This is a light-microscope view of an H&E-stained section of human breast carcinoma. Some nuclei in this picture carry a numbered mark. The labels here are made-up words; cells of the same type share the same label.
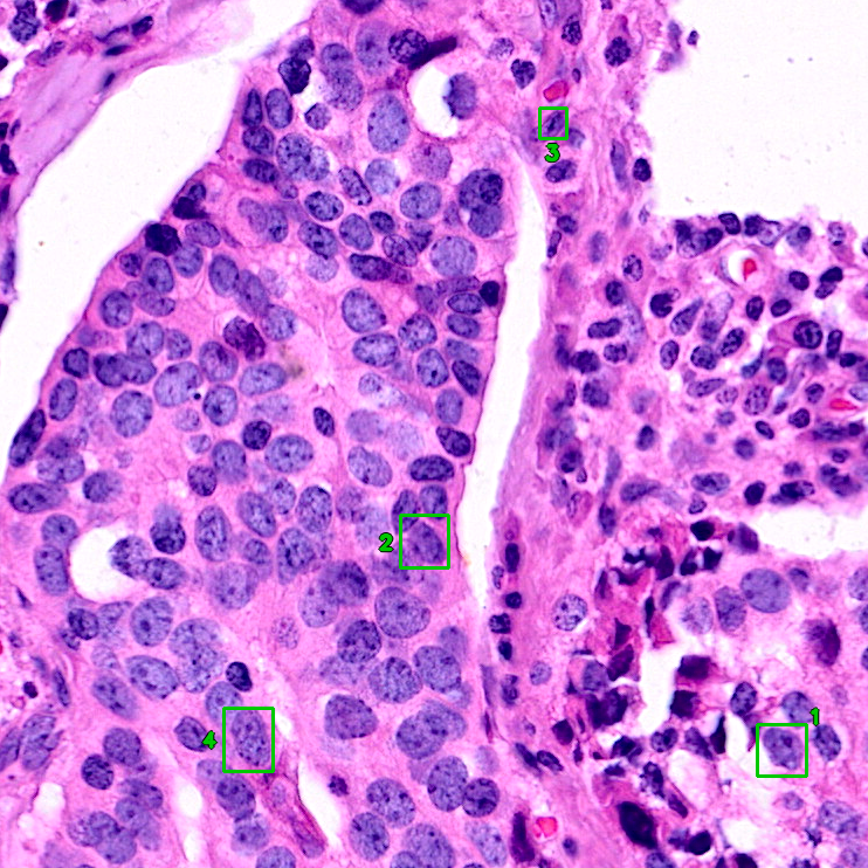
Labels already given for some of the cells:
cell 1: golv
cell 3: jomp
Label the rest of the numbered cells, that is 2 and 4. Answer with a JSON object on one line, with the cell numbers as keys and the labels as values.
{"2": "golv", "4": "golv"}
